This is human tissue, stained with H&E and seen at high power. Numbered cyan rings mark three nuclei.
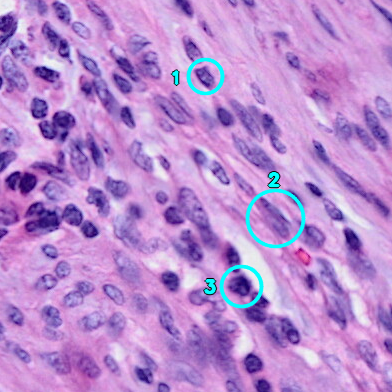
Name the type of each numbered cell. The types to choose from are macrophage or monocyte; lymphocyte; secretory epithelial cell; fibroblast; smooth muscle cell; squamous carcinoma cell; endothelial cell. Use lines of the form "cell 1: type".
cell 1: lymphocyte
cell 2: endothelial cell
cell 3: lymphocyte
